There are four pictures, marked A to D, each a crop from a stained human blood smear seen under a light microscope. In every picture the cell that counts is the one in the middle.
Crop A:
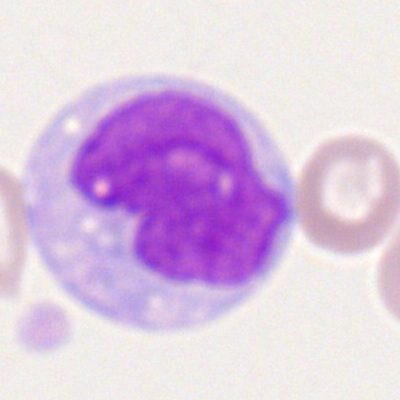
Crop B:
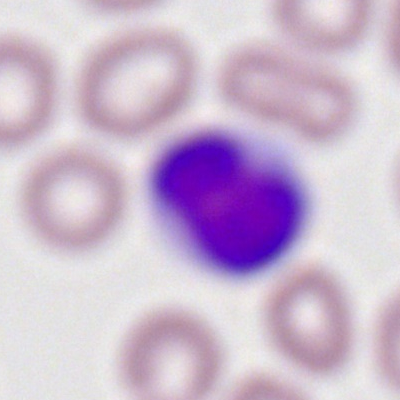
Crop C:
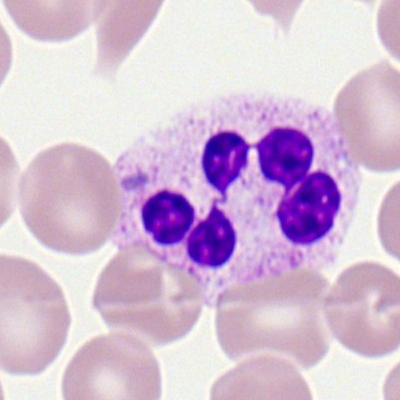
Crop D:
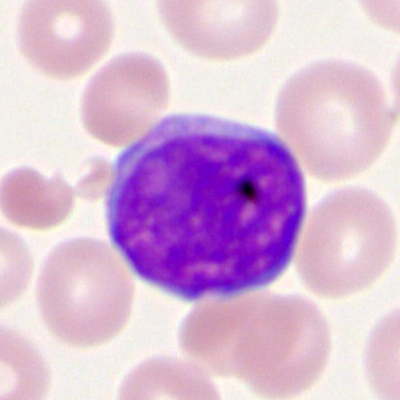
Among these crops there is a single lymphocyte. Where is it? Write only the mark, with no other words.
B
